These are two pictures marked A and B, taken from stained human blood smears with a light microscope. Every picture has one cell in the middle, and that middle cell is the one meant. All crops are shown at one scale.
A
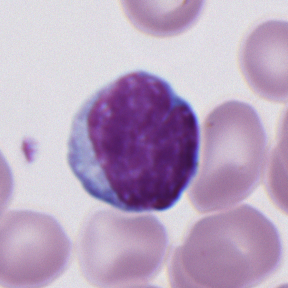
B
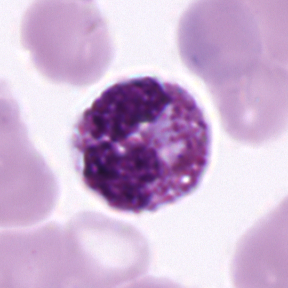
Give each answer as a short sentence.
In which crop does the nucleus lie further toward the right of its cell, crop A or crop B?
The nucleus in crop A lies further toward the right of its cell.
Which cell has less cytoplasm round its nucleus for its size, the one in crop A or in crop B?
The nucleus fills more of the cell in crop A than in crop B.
